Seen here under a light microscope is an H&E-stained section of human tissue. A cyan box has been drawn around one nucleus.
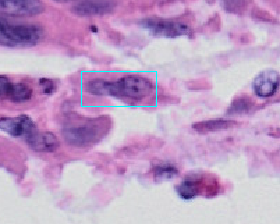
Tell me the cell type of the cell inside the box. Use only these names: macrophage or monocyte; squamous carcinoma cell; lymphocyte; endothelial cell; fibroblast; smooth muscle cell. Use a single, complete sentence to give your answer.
In this field of tissue, the cell inside the box is a macrophage or monocyte.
